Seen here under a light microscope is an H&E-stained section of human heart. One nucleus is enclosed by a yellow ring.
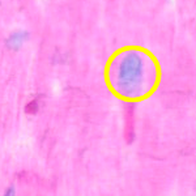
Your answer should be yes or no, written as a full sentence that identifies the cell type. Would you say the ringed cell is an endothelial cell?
No, the ringed cell is not an endothelial cell but a cardiomyocyte.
